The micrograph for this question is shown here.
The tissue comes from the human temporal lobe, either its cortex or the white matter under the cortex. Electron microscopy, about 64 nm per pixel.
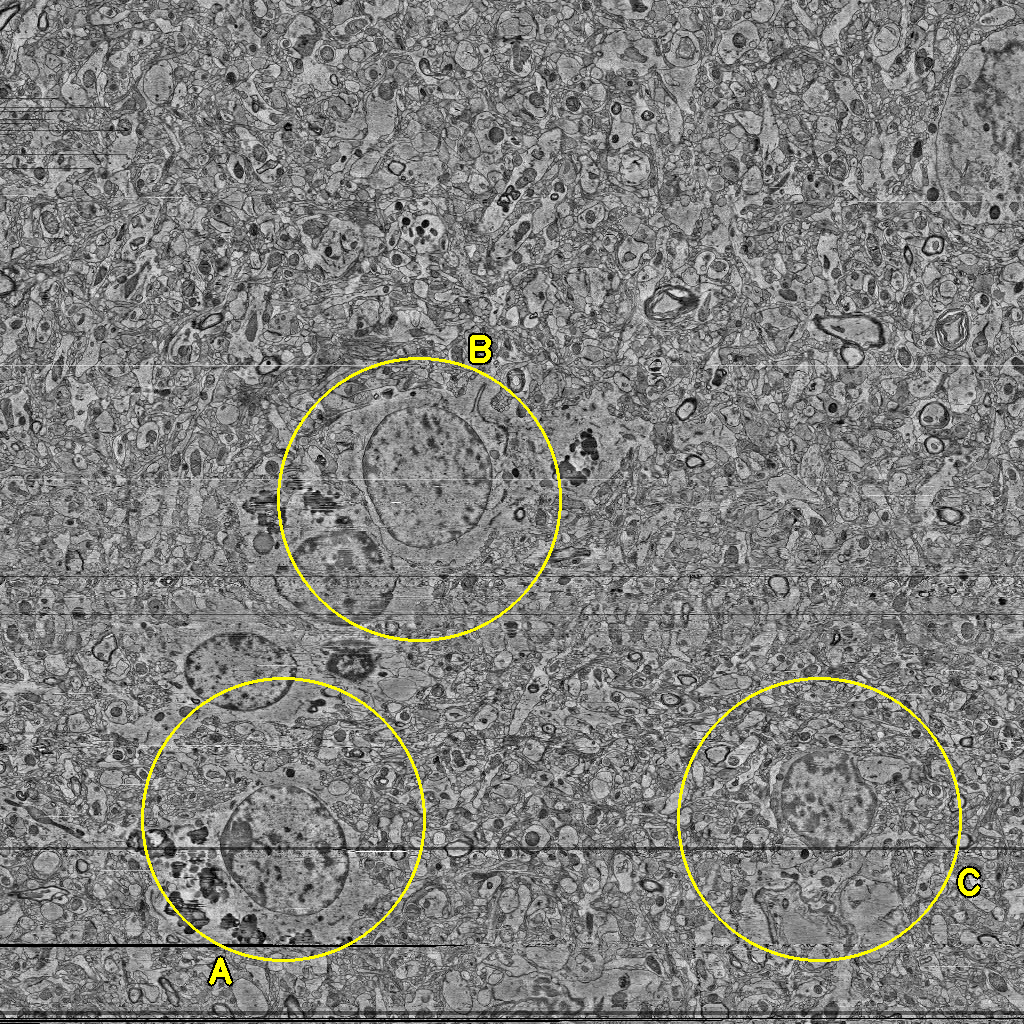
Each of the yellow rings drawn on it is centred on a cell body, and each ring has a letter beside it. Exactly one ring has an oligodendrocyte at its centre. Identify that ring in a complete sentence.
The ring centred on it is ring C.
